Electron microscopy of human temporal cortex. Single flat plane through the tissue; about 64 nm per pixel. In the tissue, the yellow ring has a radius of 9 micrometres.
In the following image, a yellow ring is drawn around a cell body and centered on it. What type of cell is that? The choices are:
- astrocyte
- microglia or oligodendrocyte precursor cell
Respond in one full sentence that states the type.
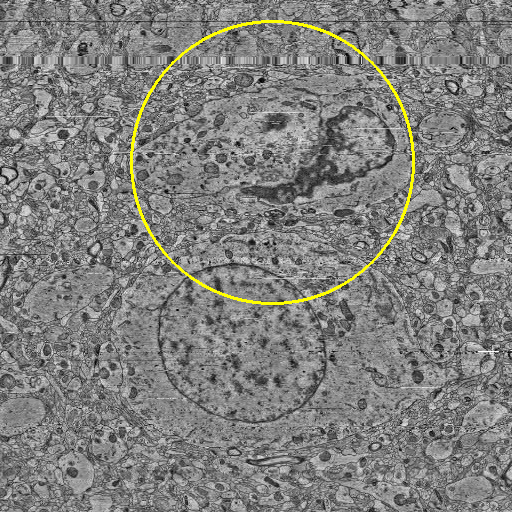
The cell at the center of the yellow ring in the image is a microglial cell or oligodendrocyte precursor cell.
